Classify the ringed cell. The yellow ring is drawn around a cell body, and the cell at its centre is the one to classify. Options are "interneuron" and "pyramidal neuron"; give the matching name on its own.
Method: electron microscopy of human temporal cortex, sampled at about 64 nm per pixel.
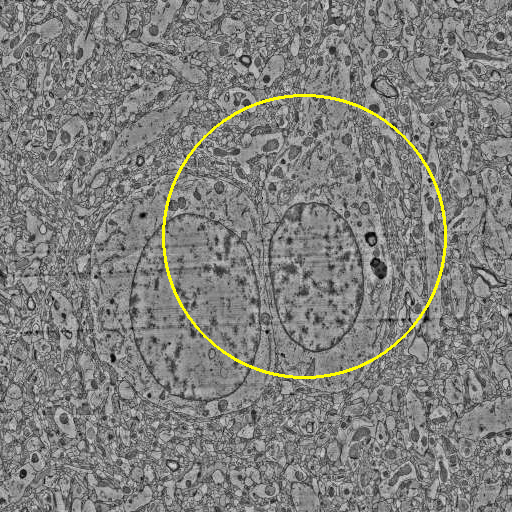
pyramidal neuron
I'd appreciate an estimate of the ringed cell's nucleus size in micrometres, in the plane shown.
Roughly 9 micrometres by 6 micrometres, so the nucleus is clearly longer than it is wide in this plane.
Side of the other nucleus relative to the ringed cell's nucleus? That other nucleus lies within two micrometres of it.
The other nucleus sits to the left of it.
